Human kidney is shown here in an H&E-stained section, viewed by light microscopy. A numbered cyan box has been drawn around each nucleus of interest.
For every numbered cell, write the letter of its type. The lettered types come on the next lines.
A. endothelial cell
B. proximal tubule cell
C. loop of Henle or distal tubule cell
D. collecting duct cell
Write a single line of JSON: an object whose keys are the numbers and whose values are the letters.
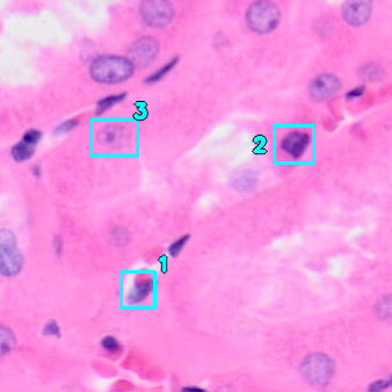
{"1": "A", "2": "B", "3": "B"}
